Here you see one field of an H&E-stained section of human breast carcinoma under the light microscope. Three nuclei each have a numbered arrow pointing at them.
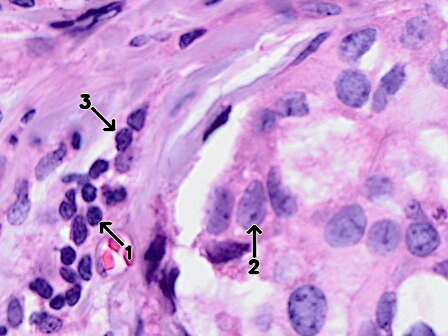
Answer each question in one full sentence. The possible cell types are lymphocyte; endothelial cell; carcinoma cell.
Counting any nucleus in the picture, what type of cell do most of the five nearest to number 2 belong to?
Carcinoma cells make up most of the five nuclei closest to number 2.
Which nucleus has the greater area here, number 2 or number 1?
Nucleus 2 covers more area, about 2.5 times as much as nucleus 1.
